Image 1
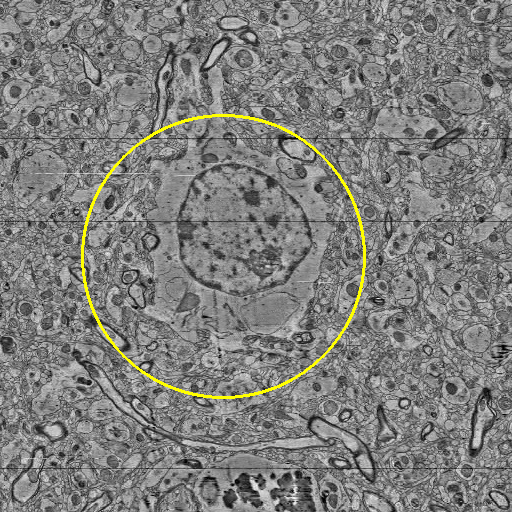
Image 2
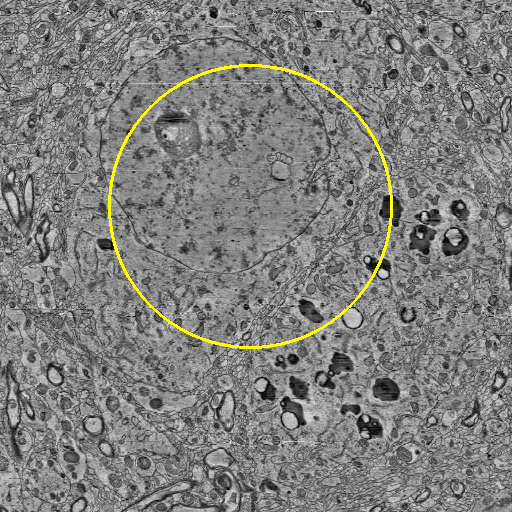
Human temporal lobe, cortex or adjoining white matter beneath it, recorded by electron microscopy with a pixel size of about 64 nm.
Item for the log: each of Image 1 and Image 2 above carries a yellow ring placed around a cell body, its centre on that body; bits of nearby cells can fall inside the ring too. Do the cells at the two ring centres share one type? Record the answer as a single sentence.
No, the two cells at the ring centres in Image 1 and Image 2 are of two types.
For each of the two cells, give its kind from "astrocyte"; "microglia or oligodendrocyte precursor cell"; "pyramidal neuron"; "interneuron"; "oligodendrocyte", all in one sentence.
The first picture has an astrocyte in its ring, the second has a pyramidal neuron.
